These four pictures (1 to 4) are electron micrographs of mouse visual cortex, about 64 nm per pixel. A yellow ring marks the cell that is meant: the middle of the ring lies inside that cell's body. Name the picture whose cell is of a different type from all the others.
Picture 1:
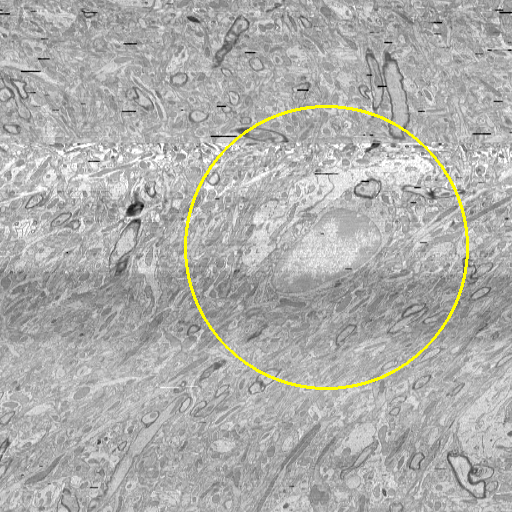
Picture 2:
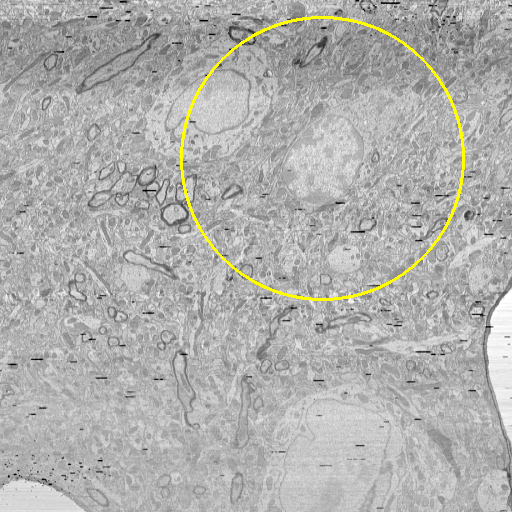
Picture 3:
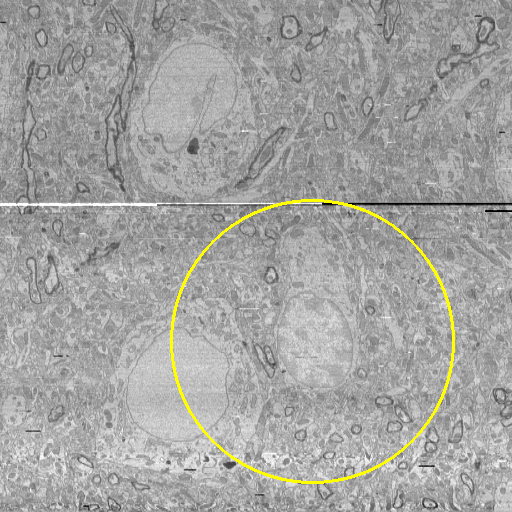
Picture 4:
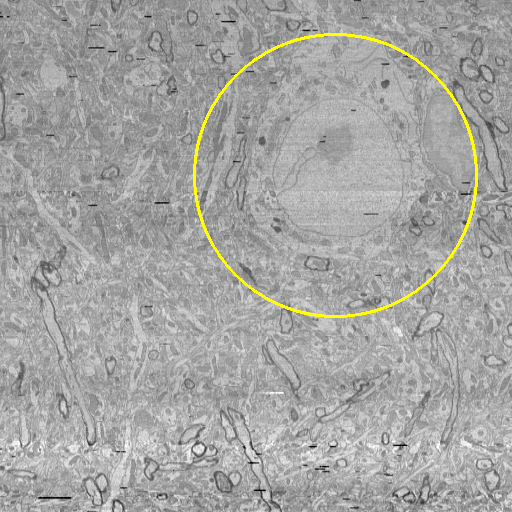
Unlike the rest, which show oligodendrocytes, picture 4 shows an excitatory neuron.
